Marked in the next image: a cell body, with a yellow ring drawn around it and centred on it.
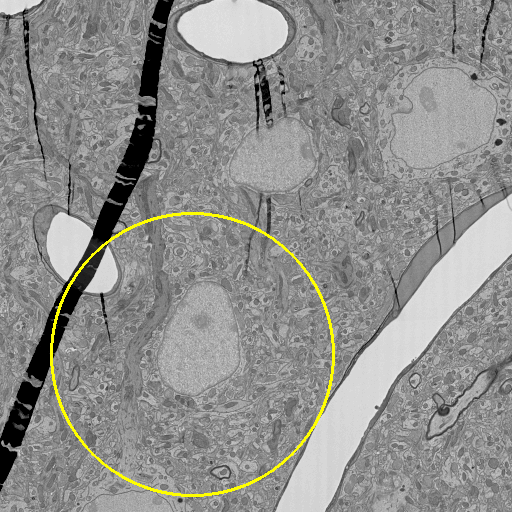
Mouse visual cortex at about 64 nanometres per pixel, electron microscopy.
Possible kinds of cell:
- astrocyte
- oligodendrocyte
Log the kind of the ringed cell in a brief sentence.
The ringed cell body is that of an astrocyte.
